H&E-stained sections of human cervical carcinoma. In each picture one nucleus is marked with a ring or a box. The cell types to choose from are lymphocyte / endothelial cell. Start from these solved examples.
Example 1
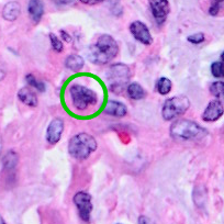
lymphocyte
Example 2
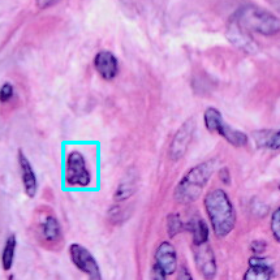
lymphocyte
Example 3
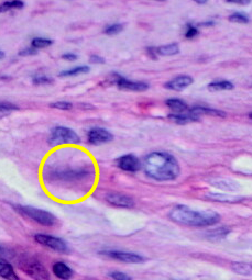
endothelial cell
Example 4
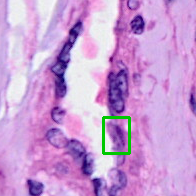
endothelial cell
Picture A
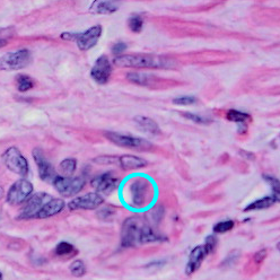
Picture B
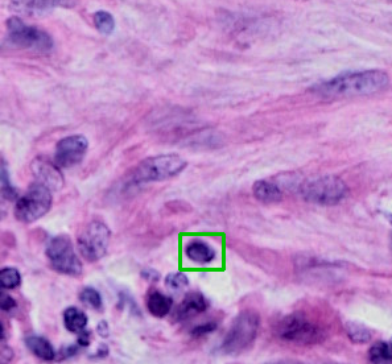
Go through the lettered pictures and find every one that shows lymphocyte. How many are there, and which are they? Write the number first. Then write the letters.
Count: 1 (B)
